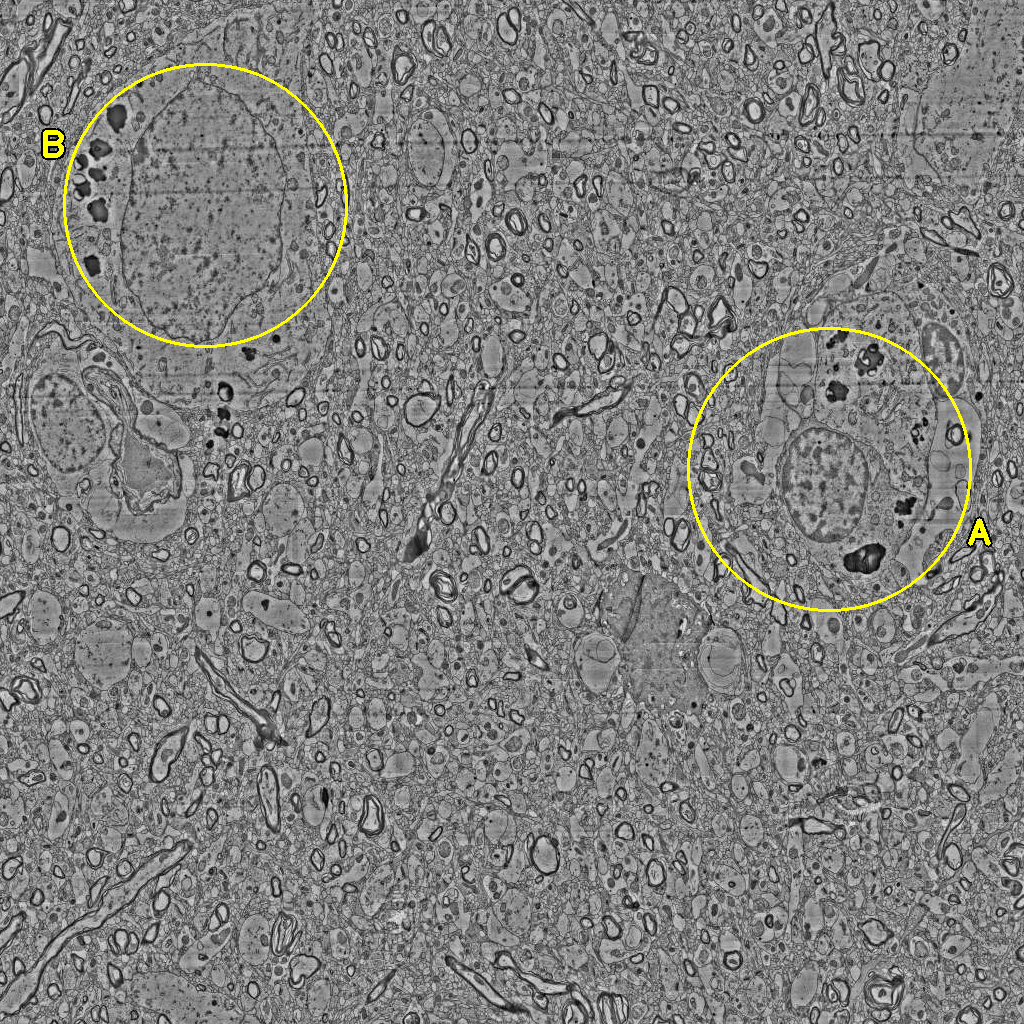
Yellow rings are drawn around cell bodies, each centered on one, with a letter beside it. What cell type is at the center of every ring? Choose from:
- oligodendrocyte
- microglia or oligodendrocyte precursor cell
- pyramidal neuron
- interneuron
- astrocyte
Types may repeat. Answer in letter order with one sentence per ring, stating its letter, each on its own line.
The cell at the center of ring A is an oligodendrocyte.
The cell at the center of ring B is a pyramidal neuron.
